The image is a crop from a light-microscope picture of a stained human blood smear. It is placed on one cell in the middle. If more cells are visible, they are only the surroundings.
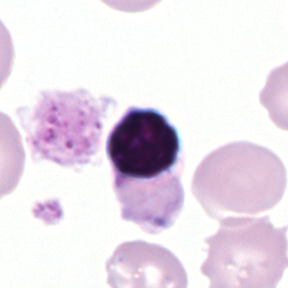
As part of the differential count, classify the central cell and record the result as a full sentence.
Within this crop, an erythroblast occupies the central position.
